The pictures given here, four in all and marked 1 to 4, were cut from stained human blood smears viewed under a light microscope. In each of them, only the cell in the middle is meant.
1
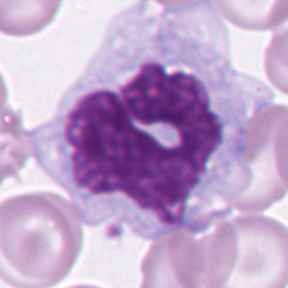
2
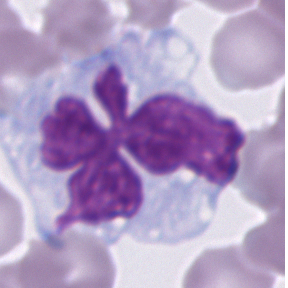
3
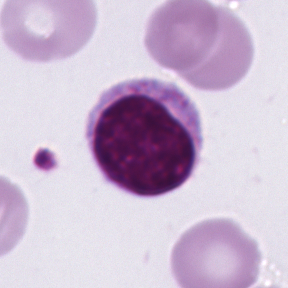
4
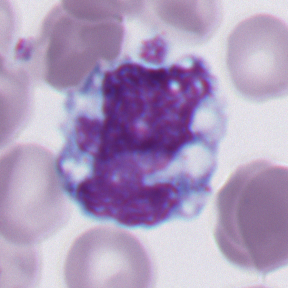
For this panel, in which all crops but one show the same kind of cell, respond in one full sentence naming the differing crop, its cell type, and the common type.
In this set, all crops show monocytes apart from crop 3, which is a large granular lymphocyte.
